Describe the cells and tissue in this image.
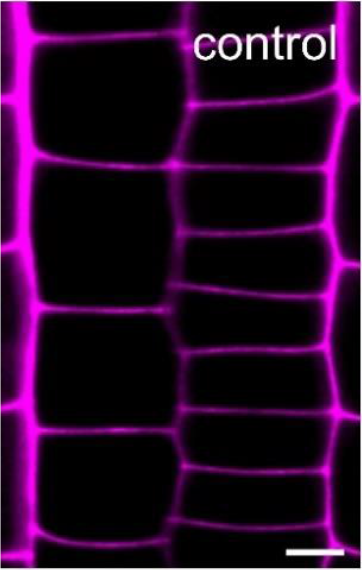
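The cells are rectangular and stacked end to end along the root axis. The long cells would be atrichoblasts and the short ones trichoblasts, the epidermal cells that form root hairs.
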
